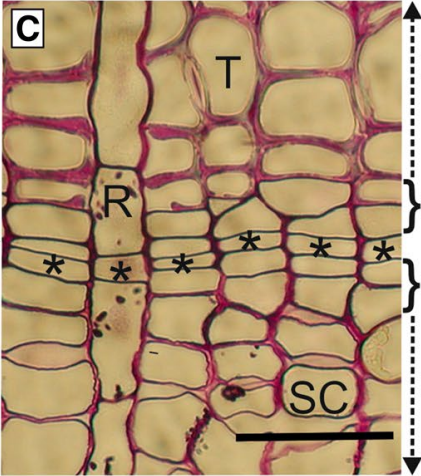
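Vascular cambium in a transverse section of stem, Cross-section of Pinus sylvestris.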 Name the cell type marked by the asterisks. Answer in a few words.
Initial cells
